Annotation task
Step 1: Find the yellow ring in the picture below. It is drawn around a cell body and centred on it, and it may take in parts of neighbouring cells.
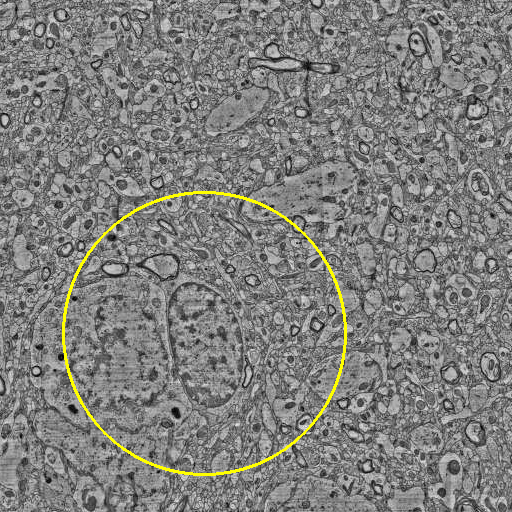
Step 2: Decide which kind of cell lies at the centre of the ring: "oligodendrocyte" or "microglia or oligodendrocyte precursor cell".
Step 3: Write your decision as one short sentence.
The kind of cell at the ring's centre is an oligodendrocyte.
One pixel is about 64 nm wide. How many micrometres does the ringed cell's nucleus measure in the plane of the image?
In this plane, about 8 by 5 micrometres: the nucleus is clearly longer than it is wide.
